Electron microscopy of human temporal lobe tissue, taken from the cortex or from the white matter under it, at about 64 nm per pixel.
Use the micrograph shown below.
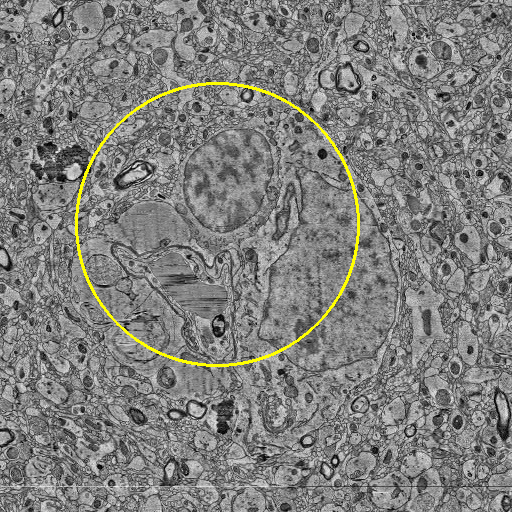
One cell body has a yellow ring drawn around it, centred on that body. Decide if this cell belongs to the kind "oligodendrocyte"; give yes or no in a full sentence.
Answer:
Yes, the cell lying at the ring's centre in the micrograph is of the kind given.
